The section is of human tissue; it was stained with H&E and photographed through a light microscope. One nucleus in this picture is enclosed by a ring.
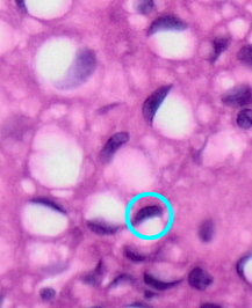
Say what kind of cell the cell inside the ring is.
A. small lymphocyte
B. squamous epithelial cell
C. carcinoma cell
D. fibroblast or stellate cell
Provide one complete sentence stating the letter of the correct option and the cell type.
Of the options given, B is right: the cell inside the ring is a squamous epithelial cell.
